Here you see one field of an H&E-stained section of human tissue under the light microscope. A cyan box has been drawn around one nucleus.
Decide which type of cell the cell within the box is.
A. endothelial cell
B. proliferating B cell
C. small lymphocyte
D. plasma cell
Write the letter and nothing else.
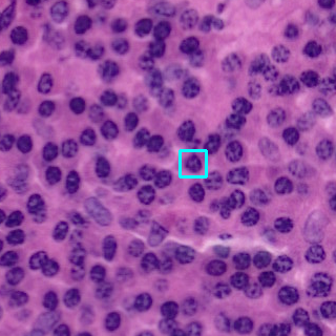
D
